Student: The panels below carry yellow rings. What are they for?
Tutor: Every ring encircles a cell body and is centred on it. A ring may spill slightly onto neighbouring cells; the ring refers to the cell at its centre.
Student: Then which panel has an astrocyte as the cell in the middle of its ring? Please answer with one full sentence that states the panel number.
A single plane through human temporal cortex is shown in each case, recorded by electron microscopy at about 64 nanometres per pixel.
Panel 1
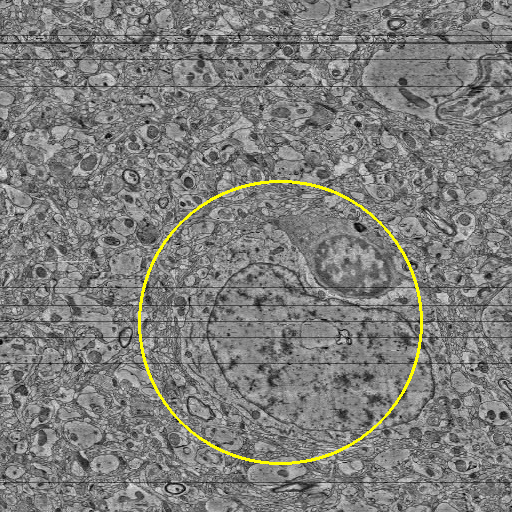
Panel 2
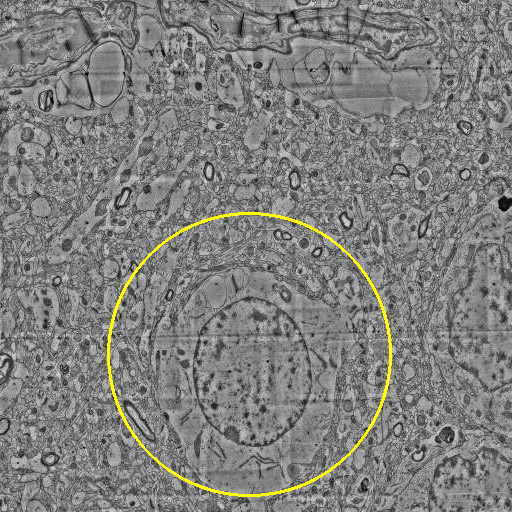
In Panel 2, the cell centred in the ring is the one sought.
